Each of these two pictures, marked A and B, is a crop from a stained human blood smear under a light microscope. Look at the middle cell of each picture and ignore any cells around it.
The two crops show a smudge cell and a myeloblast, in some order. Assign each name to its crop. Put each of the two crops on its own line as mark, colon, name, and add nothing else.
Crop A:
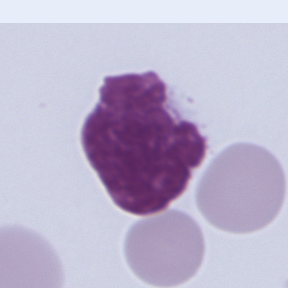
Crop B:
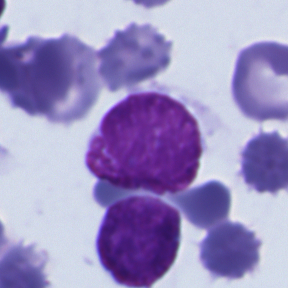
A: smudge cell
B: myeloblast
